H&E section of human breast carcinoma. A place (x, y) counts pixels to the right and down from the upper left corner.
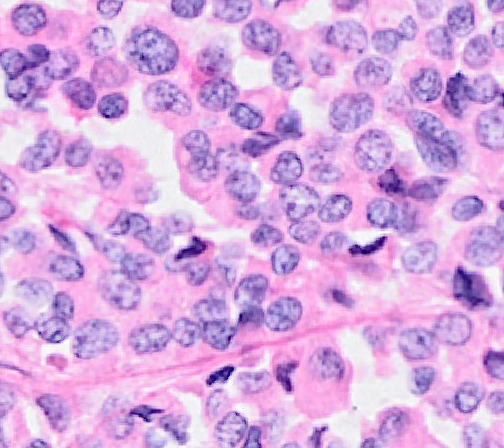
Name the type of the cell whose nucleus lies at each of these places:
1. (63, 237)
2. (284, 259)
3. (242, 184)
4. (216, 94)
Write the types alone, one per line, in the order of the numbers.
endothelial cell
carcinoma cell
carcinoma cell
carcinoma cell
